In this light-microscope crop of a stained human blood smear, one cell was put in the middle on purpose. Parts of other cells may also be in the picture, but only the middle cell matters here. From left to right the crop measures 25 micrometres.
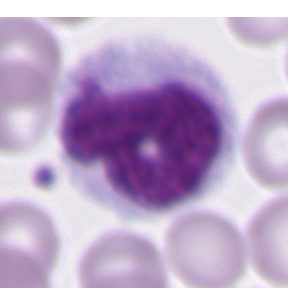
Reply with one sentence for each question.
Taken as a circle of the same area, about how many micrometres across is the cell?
Taken as a circle, the cell has a diameter of about 15 micrometres.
